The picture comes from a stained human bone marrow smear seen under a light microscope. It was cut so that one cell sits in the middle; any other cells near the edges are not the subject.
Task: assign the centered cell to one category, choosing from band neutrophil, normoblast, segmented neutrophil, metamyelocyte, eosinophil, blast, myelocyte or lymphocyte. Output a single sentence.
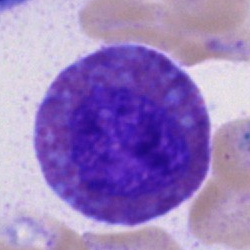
The cell occupying the middle of the crop is an eosinophil.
